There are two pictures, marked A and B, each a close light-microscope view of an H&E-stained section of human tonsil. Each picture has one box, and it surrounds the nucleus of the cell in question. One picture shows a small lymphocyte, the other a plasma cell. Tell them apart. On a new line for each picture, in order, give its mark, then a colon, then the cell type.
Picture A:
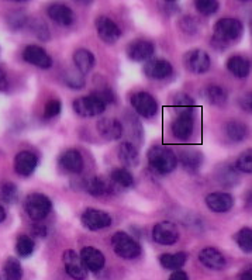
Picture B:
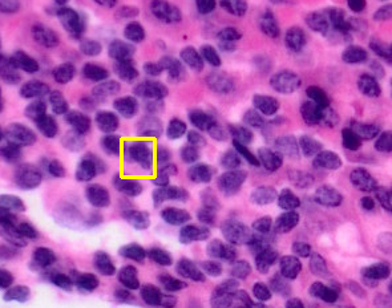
A: plasma cell
B: small lymphocyte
